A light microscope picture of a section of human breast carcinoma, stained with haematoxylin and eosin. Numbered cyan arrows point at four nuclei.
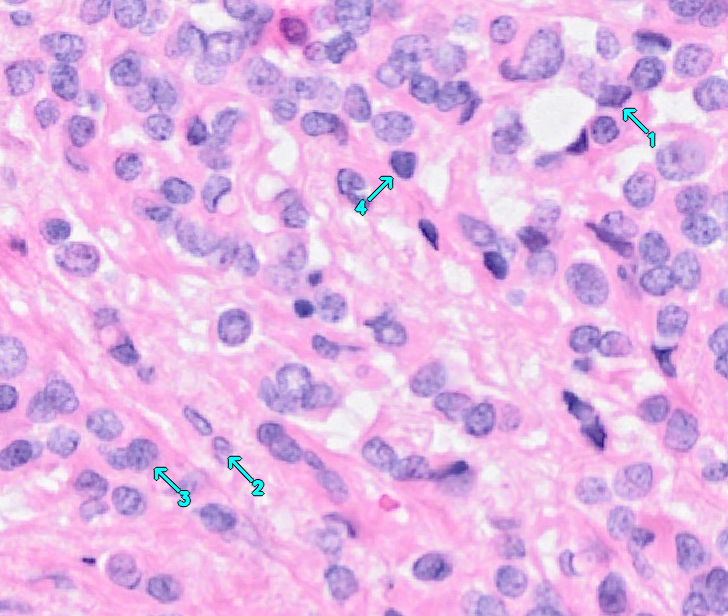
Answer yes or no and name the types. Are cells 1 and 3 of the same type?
Yes, in this tissue section, cells 1 and 3 are both carcinoma cells.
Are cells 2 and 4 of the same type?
No, in contrast to cell 4, which is a carcinoma cell, cell 2 is an endothelial cell.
